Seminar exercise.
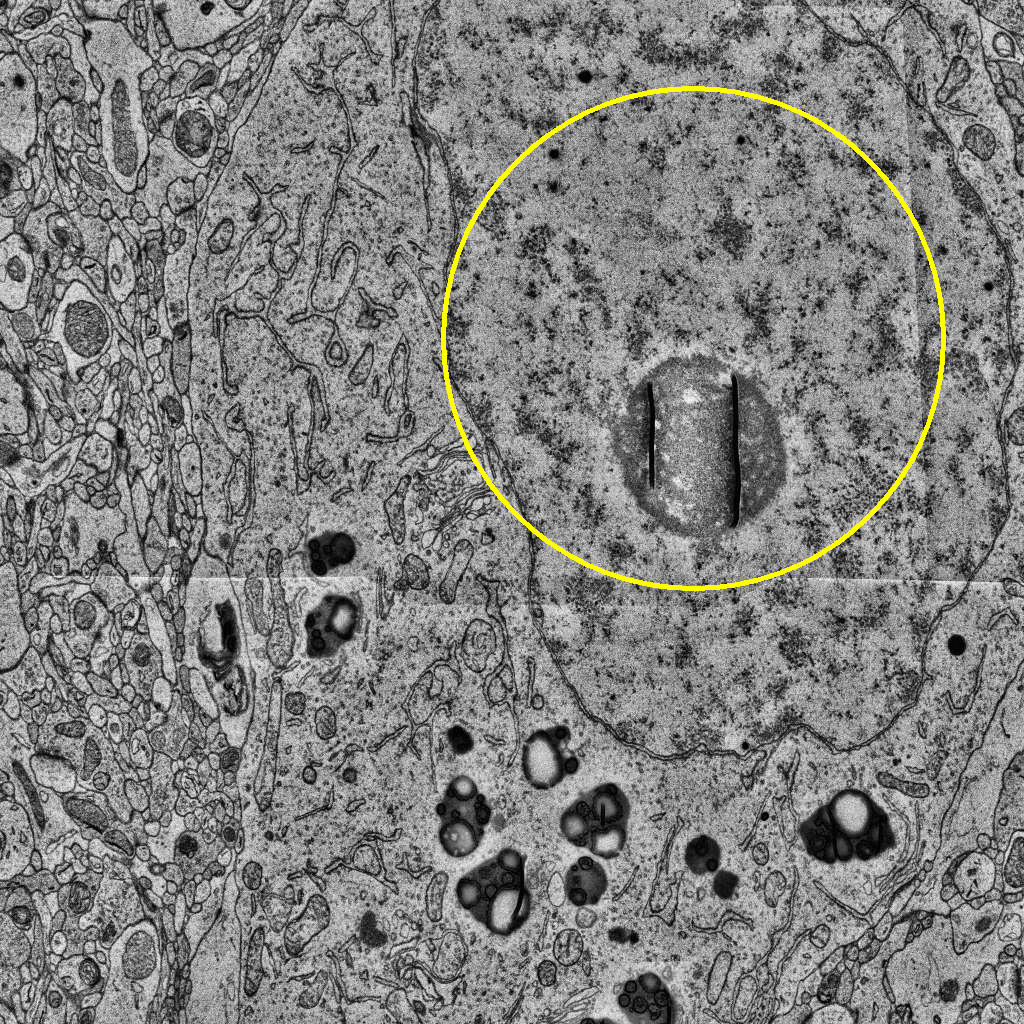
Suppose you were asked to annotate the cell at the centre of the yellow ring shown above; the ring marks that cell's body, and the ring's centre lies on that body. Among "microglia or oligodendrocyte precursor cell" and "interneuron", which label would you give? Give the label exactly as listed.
interneuron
